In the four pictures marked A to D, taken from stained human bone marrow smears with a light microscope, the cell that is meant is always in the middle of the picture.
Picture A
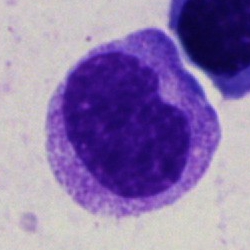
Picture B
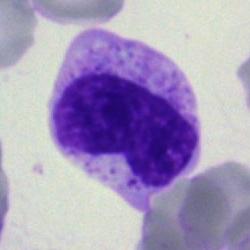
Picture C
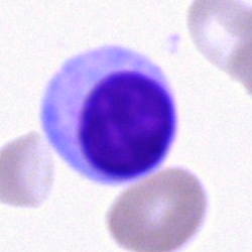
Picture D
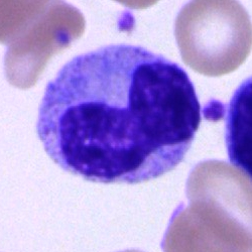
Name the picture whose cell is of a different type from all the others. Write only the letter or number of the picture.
C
